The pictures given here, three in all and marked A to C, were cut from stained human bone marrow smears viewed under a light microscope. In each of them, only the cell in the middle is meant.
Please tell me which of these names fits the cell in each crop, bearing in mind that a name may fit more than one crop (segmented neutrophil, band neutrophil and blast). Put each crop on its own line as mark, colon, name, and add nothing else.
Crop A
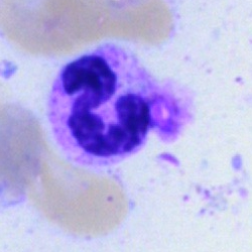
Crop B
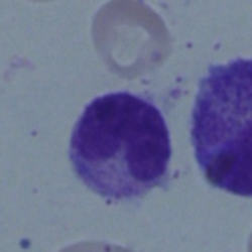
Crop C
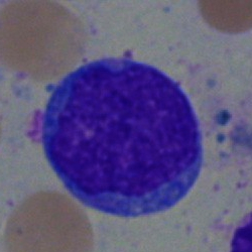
A: segmented neutrophil
B: band neutrophil
C: blast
